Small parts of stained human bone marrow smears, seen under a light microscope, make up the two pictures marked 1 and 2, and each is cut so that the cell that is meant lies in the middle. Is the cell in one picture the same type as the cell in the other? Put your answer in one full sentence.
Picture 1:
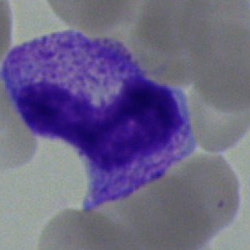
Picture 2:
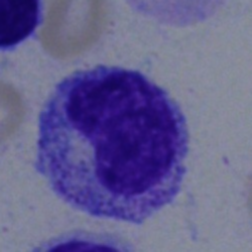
No; the cell in picture 1 is a band neutrophil, while the one in picture 2 is a metamyelocyte.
